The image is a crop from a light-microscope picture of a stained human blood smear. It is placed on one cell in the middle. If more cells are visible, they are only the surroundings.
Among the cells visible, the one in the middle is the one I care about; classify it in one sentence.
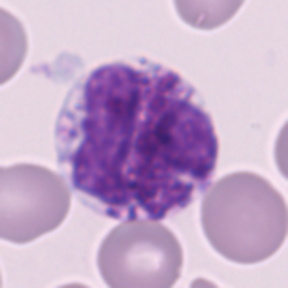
The middle of this crop holds a basophil.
